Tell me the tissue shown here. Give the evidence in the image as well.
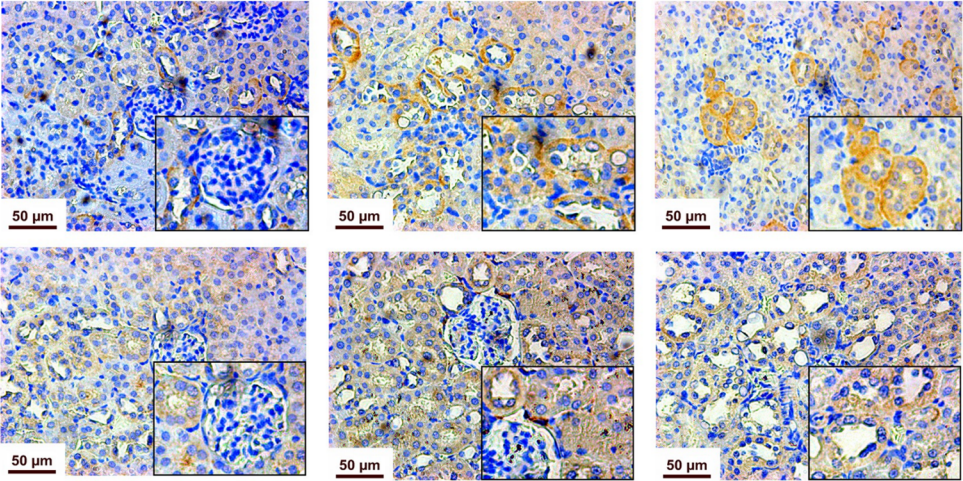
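Round glomerular tufts of densely packed nuclei surrounded by a clear space. Many tubule cross-sections lined by cuboidal epithelial cells around small lumens.
Conclusion: kidneys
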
